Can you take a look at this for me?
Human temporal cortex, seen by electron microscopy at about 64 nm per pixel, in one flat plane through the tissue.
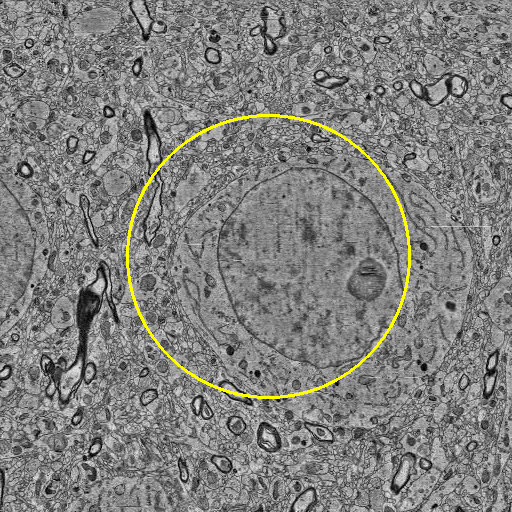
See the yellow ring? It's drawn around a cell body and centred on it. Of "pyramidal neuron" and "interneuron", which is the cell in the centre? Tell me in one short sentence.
The one in the centre is a pyramidal neuron.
